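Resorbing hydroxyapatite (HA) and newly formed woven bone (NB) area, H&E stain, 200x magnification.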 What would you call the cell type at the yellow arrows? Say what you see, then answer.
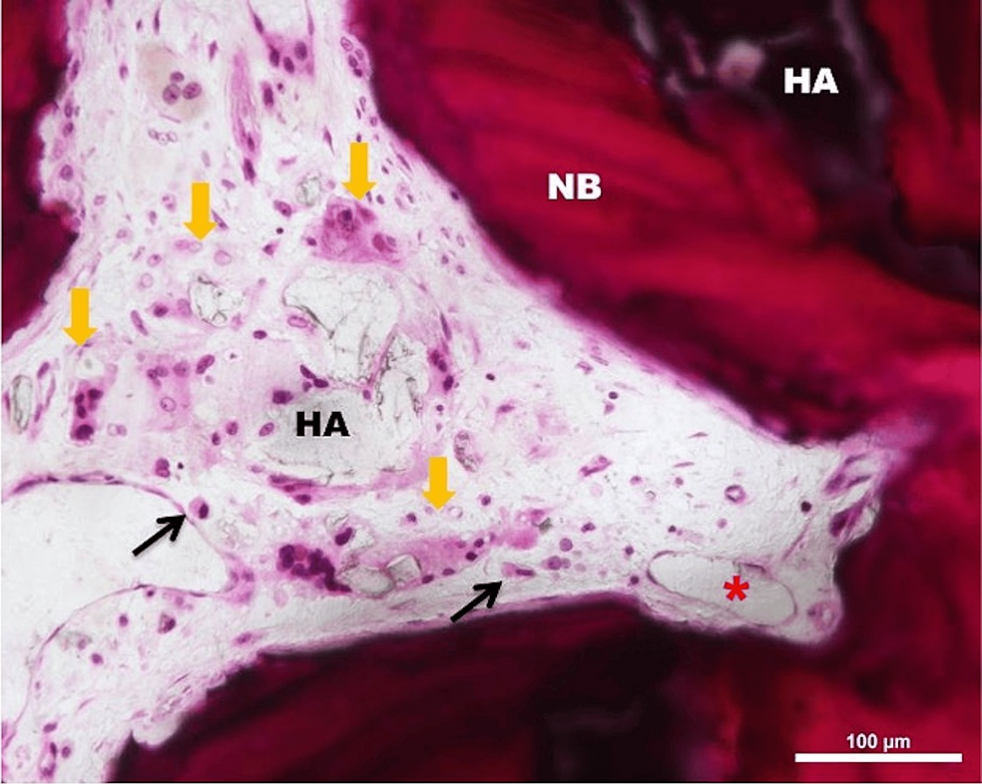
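The marked cells are much larger than the surrounding cells. They hold several dark purple nuclei in one pink cytoplasm. That points to this answer: foreign body type giant cells.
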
